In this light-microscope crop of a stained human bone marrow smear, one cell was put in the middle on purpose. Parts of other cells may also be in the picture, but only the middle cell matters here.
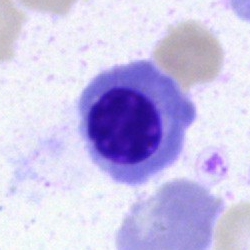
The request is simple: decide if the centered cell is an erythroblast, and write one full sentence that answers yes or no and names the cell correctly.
Yes, what sits in the centre of the crop is an erythroblast.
